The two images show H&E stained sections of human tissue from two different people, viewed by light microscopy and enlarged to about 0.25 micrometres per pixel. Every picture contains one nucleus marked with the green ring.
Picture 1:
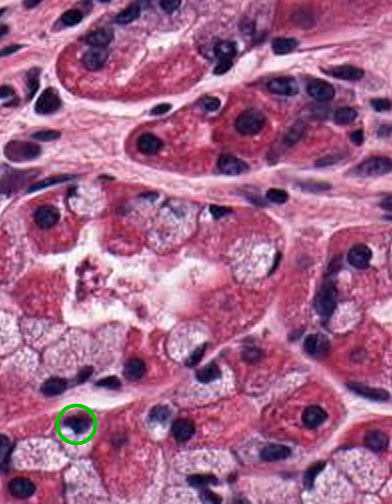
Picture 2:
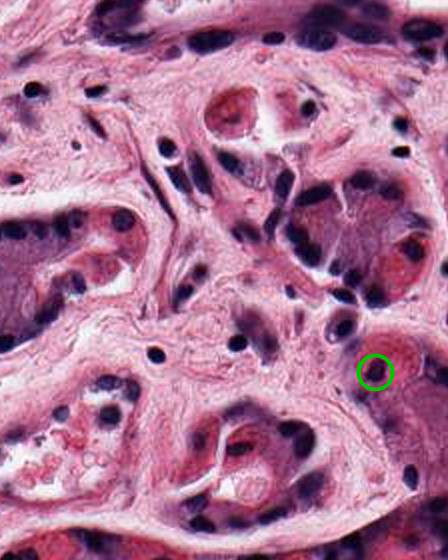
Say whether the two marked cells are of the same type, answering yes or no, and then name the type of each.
No, the first is a mucous gland cell and the second a parietal cell.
